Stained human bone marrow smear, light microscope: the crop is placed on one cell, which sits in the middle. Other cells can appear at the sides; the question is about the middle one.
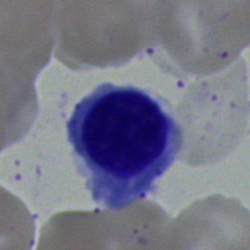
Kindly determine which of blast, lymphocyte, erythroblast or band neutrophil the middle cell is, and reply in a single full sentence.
The cell centred in this crop is categorized as an erythroblast.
